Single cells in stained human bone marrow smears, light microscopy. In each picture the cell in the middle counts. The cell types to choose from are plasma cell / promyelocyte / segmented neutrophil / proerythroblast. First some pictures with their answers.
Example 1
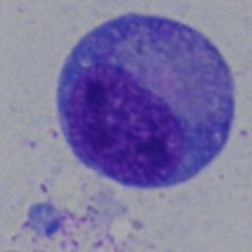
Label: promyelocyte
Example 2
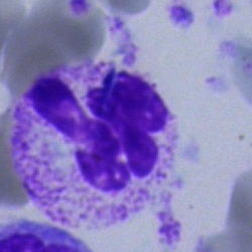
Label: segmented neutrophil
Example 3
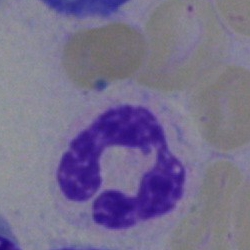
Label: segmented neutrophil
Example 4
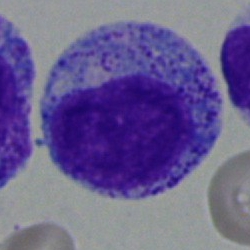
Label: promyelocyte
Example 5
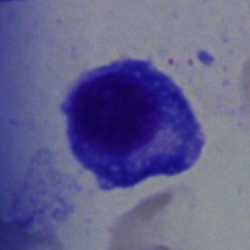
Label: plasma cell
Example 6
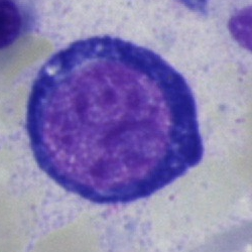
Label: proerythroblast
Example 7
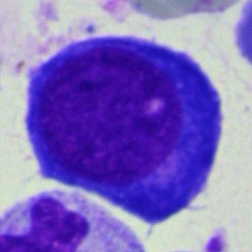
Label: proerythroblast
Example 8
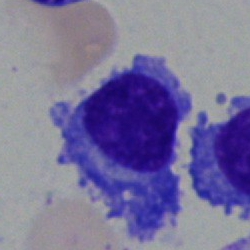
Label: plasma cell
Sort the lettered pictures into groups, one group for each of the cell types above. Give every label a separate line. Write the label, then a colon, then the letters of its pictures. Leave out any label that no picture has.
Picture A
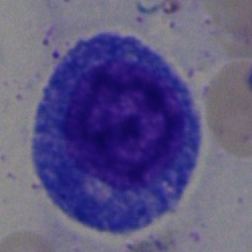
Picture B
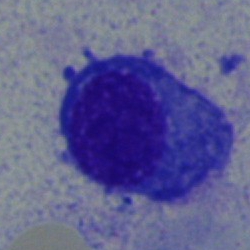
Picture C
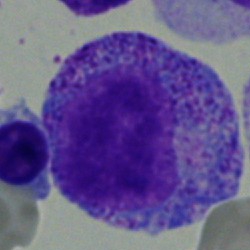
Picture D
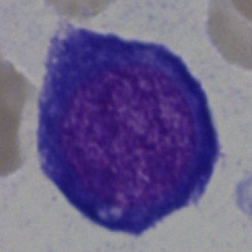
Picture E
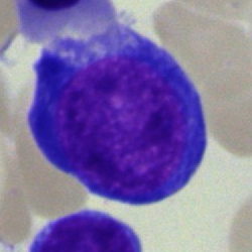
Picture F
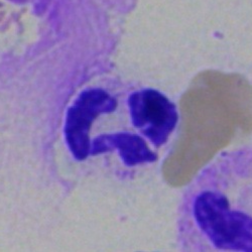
plasma cell: B
promyelocyte: A, C
segmented neutrophil: F
proerythroblast: D, E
